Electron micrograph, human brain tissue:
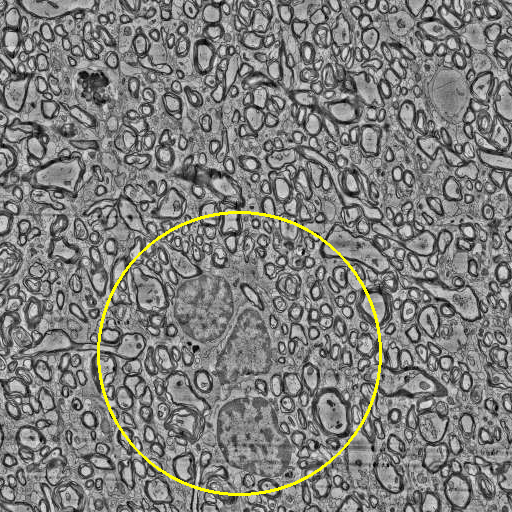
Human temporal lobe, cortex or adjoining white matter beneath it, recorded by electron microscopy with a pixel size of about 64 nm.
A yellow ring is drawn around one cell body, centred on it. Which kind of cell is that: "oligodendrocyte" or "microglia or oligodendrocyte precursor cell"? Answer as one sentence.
It is an oligodendrocyte at the centre of the ring.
